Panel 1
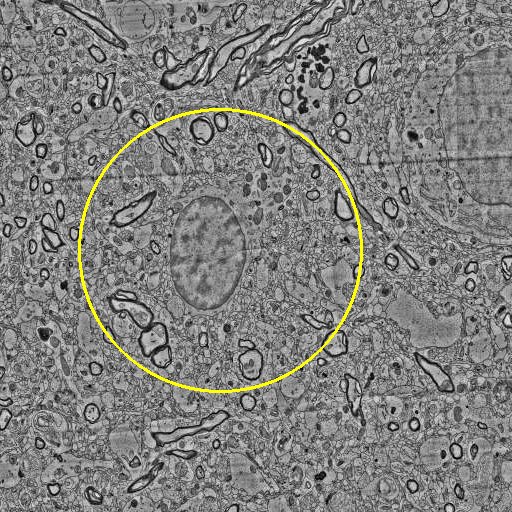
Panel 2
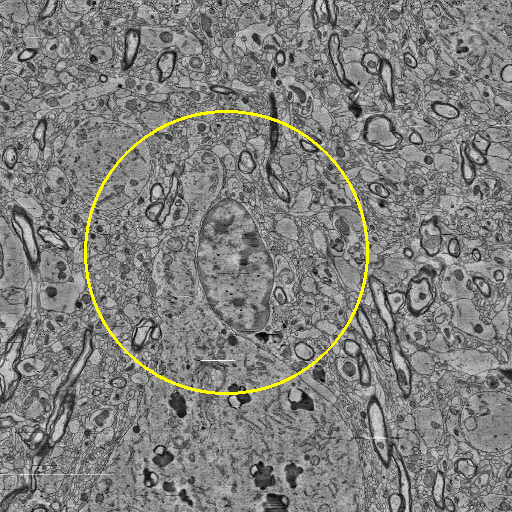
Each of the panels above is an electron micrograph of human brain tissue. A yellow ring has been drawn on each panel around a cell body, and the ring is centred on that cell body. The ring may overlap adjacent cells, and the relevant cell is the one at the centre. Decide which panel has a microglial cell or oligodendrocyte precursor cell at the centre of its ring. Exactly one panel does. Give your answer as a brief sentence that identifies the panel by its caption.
Panel 2 is the one with it at the centre of the ring.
